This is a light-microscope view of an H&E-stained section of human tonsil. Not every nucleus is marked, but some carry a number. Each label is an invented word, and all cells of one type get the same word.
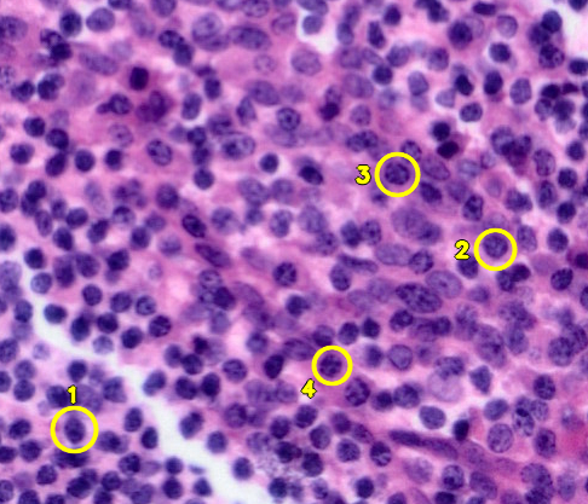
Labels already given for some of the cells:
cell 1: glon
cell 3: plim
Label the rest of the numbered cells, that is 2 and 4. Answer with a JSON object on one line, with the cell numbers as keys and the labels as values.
{"2": "plim", "4": "plim"}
